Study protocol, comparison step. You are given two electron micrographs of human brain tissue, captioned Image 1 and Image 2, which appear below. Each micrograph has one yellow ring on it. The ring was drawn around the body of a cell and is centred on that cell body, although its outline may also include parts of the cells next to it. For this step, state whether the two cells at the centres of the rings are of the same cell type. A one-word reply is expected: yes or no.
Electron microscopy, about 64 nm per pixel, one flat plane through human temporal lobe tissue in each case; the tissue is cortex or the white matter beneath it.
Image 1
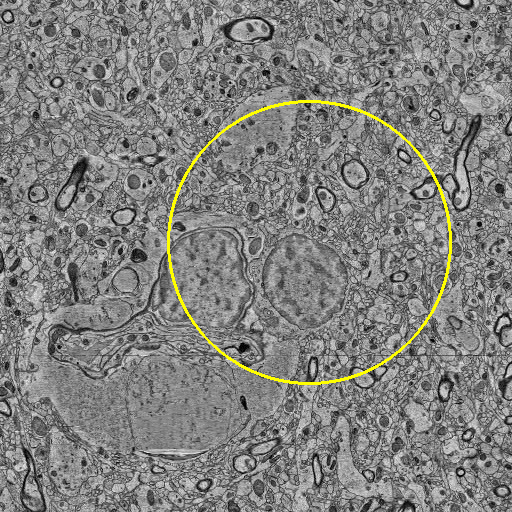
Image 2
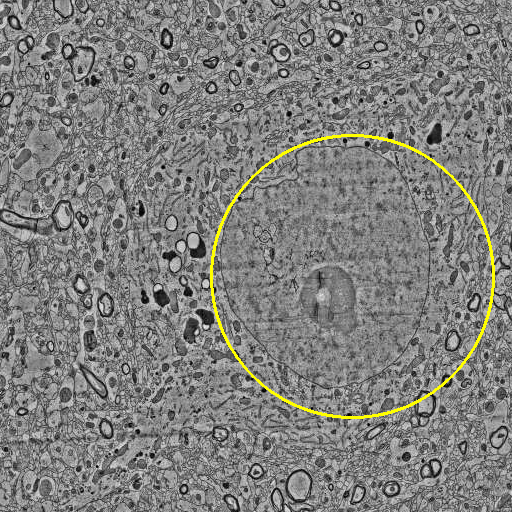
no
